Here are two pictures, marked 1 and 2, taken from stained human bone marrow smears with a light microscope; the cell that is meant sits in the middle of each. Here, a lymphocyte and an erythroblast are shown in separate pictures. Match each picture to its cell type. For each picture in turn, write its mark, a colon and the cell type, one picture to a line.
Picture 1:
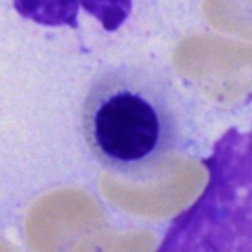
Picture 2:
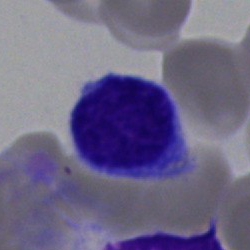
1: erythroblast
2: lymphocyte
